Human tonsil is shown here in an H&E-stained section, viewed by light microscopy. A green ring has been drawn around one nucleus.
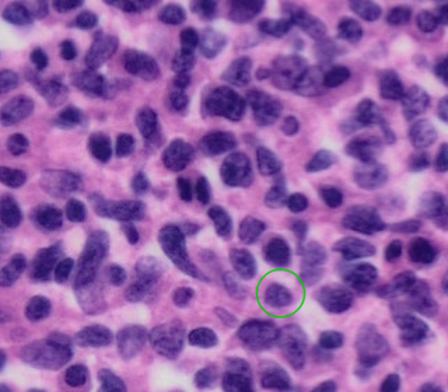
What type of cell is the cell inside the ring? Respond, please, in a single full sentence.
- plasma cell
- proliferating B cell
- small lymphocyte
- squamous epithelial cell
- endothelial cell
In short, the cell inside the ring on this section is a proliferating B cell.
